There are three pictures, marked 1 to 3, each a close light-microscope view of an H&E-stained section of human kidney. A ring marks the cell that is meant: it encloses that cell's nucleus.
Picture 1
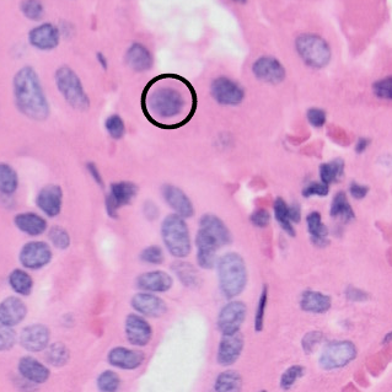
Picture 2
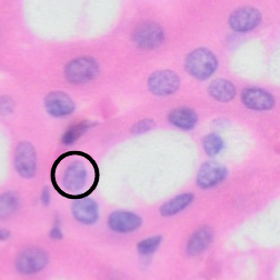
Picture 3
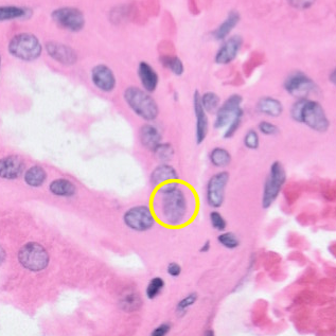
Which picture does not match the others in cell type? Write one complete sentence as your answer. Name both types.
The others show collecting duct cells, but picture 1 shows a “loop of Henle or distal tubule cell”.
